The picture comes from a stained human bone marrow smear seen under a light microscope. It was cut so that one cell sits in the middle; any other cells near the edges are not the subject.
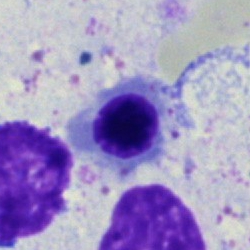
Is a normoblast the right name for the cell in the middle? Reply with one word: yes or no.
yes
